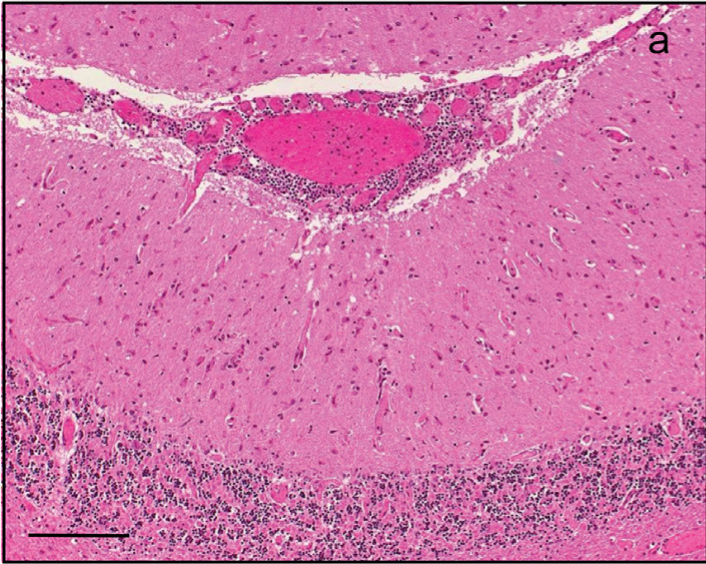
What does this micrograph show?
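This low-power view shows brain tissue with an inflammatory infiltrate in the membranes at its surface. Near the top, a cleft of the surface membranes holds a large blood vessel filled with pink blood and several smaller vessels, all surrounded by dense collections of small dark nuclei. Below this lies a broad pale pink layer of fibrillar tissue with scattered small nuclei and thin vessels running through it. At the bottom a crowded layer of small, darkly stained, closely packed nuclei forms a distinct band.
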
